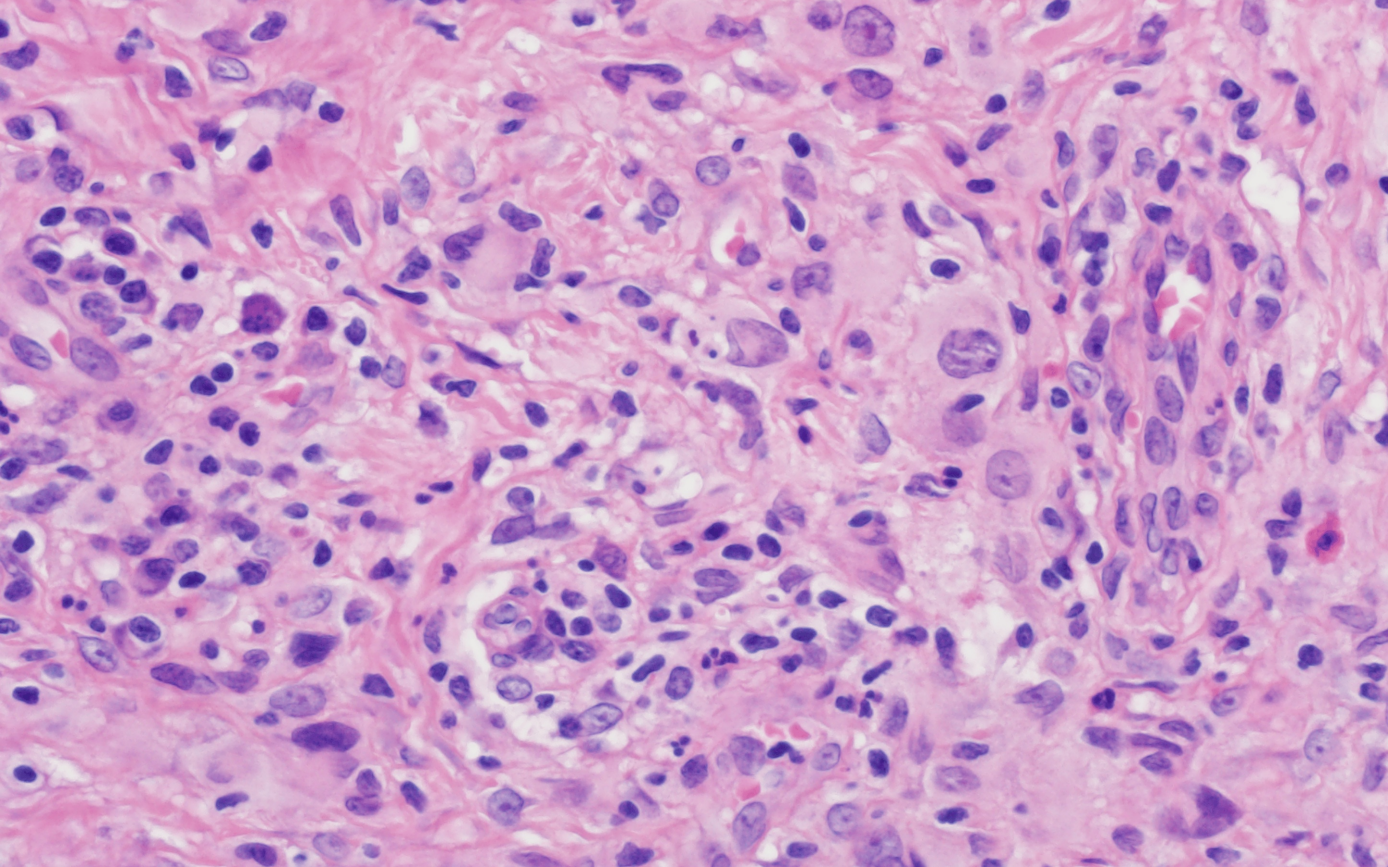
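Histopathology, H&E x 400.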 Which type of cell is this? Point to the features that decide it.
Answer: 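Histiocytes. Large cells with ample pale pink cytoplasm and indistinct borders. Oval to elongated vesicular nuclei with fine chromatin, some with small nucleoli.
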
